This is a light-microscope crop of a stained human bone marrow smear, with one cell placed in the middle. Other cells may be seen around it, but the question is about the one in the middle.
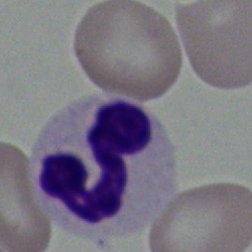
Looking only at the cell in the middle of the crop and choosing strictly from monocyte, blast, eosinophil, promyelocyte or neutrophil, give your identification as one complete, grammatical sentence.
The cell that lies at the centre of the crop is a neutrophil.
